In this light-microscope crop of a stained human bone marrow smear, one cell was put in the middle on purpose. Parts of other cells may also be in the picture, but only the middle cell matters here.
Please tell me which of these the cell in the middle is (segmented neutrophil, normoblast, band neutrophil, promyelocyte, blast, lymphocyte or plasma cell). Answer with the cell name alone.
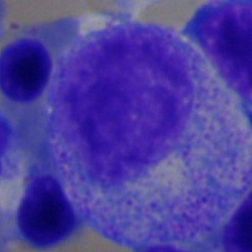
promyelocyte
